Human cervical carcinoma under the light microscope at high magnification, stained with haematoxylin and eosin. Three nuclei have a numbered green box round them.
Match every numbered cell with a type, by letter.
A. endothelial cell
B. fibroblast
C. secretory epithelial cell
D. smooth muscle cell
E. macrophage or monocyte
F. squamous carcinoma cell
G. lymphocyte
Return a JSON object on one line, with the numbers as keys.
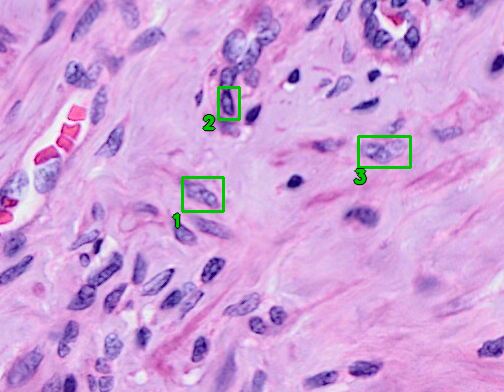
{"1": "D", "2": "A", "3": "D"}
